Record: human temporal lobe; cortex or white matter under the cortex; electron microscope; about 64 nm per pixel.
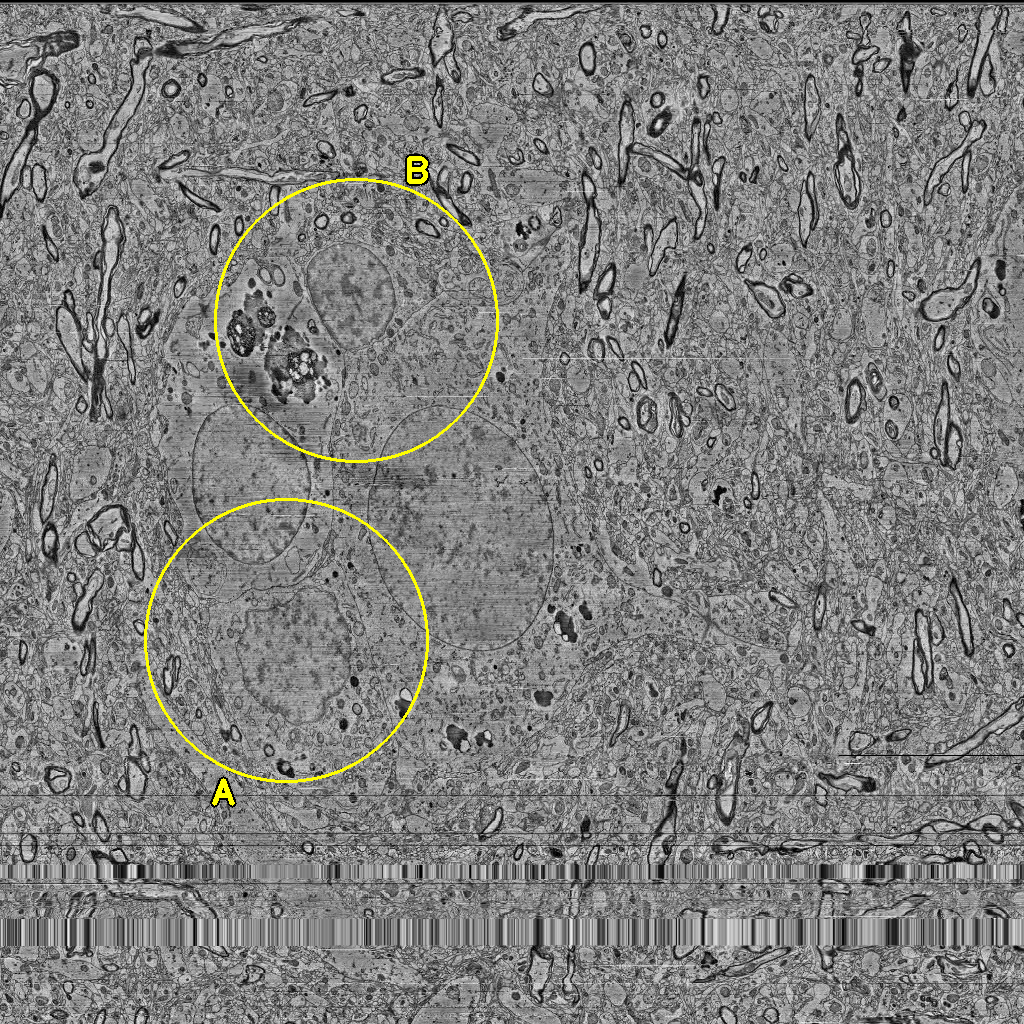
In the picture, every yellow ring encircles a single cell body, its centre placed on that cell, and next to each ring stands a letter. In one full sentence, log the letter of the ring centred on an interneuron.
The ring with the requested cell at its centre bears the letter A.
